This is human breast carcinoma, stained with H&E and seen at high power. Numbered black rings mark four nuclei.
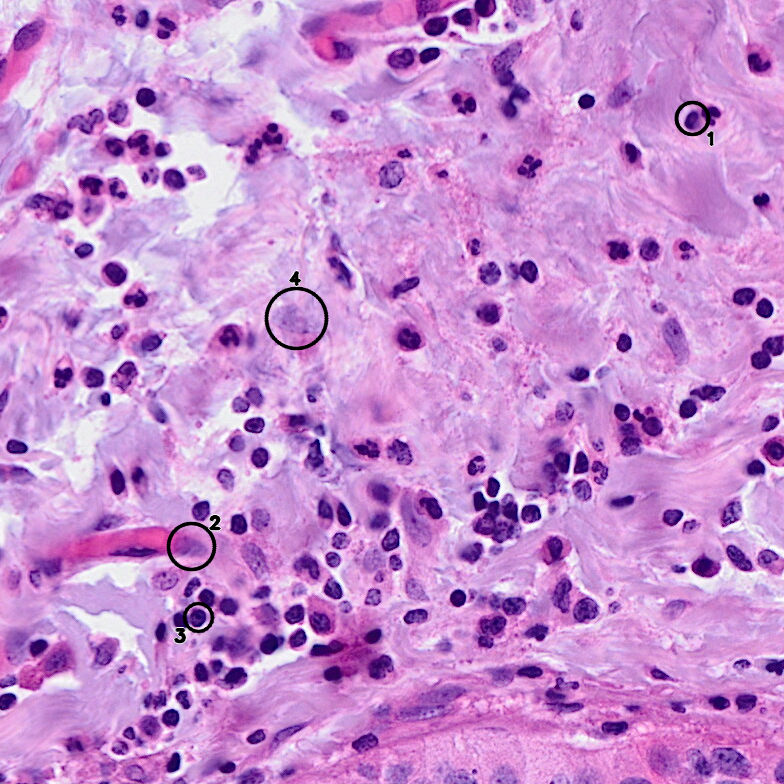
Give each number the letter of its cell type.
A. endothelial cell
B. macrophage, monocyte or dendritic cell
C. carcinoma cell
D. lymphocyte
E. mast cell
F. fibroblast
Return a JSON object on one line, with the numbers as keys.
{"1": "D", "2": "A", "3": "D", "4": "F"}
